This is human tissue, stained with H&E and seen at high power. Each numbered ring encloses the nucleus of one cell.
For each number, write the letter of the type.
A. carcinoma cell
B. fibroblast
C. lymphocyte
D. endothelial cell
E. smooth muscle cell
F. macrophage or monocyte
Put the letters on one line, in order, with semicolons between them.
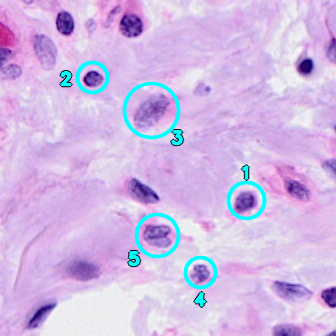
C; C; B; C; F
